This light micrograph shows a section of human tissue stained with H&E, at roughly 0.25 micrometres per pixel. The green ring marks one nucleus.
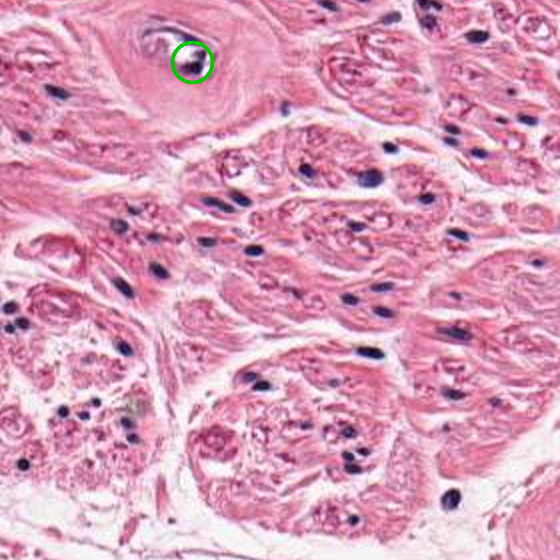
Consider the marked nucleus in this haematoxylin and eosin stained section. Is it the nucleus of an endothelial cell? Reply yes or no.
yes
